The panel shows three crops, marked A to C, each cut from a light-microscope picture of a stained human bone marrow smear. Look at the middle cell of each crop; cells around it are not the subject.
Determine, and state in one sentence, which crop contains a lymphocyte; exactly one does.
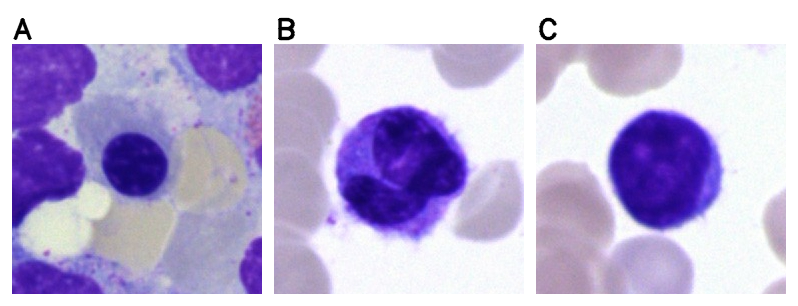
Crop C is identified as the crop showing a lymphocyte.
